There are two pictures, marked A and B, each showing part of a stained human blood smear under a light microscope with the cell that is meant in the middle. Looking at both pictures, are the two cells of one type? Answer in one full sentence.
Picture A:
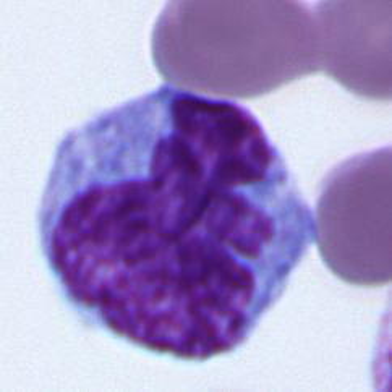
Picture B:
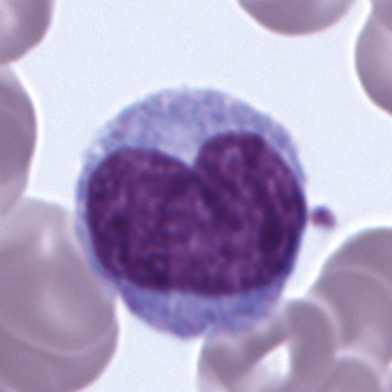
Yes, both cells are monocytes.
